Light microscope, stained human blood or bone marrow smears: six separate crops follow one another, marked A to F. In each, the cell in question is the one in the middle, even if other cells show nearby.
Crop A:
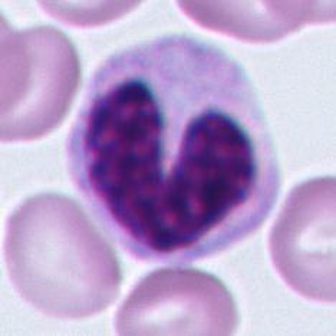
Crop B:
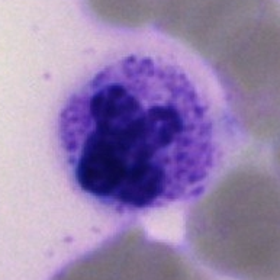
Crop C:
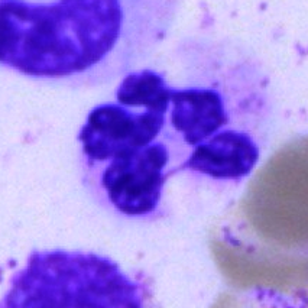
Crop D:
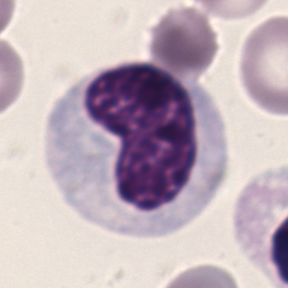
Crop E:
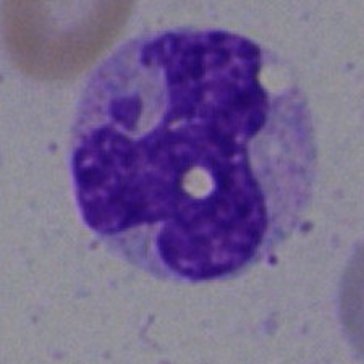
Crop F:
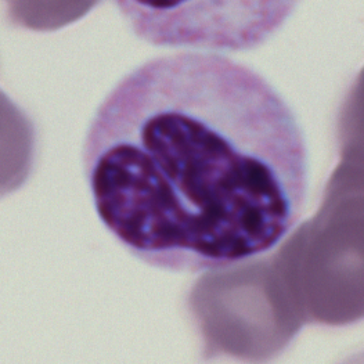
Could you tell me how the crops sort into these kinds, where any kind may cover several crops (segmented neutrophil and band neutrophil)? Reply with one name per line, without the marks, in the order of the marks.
band neutrophil
segmented neutrophil
segmented neutrophil
band neutrophil
segmented neutrophil
segmented neutrophil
